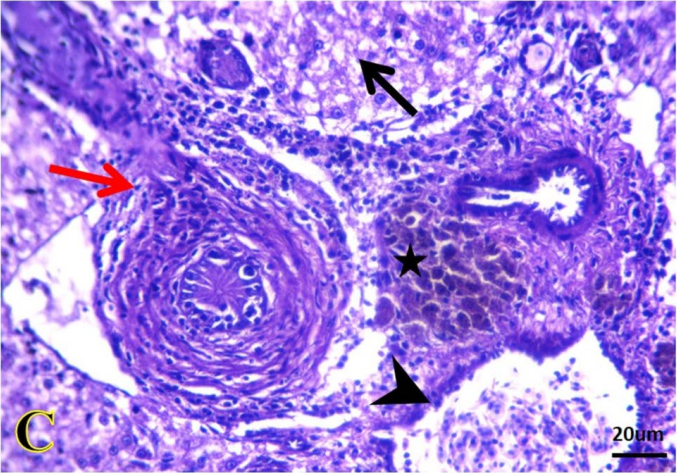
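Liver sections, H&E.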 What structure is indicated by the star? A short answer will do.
Melanomacrophage centers.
